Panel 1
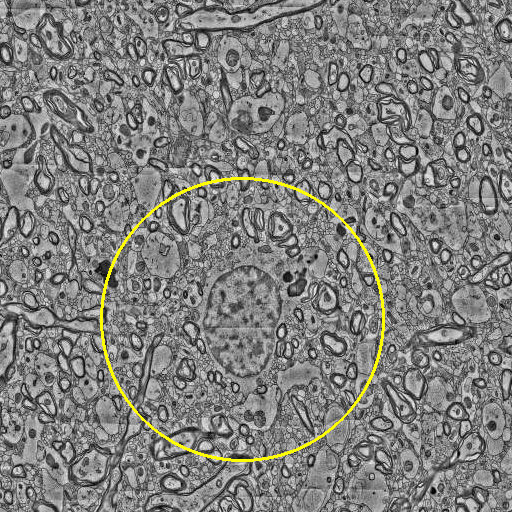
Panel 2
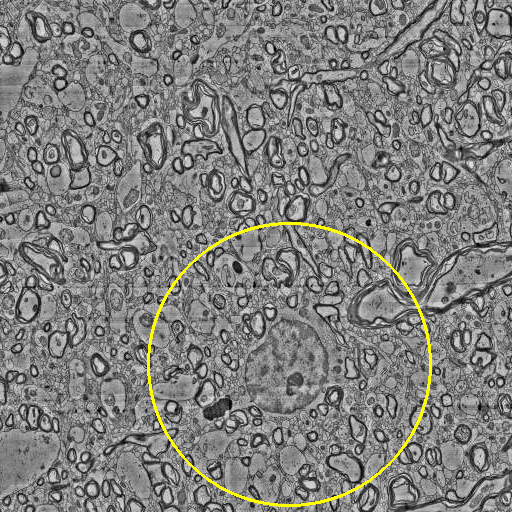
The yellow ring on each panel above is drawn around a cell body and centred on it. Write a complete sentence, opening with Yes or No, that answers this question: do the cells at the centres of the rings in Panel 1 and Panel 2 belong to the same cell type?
Yes, both cells belong to the same cell type.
